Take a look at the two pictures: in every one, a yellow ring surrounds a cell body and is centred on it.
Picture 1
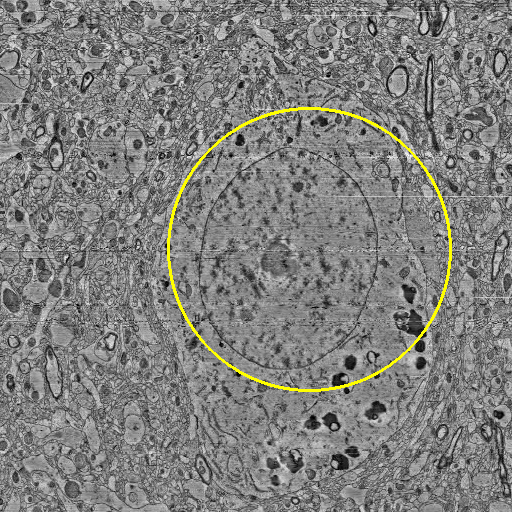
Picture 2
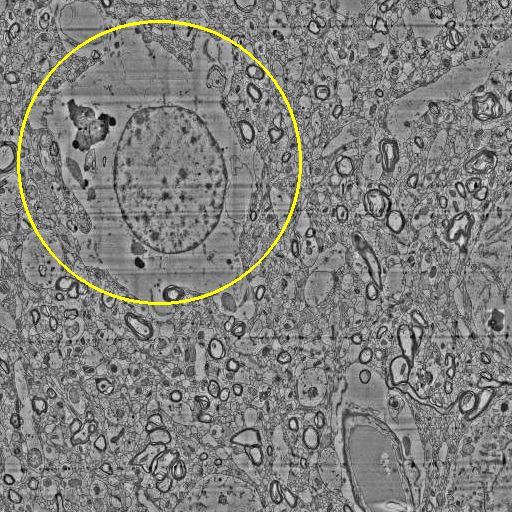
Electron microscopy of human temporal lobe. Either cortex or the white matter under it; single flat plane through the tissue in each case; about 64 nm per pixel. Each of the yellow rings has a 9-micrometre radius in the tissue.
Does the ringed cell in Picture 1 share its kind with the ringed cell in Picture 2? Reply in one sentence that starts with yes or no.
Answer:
No, the two centred cells, one per picture, are of two kinds.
